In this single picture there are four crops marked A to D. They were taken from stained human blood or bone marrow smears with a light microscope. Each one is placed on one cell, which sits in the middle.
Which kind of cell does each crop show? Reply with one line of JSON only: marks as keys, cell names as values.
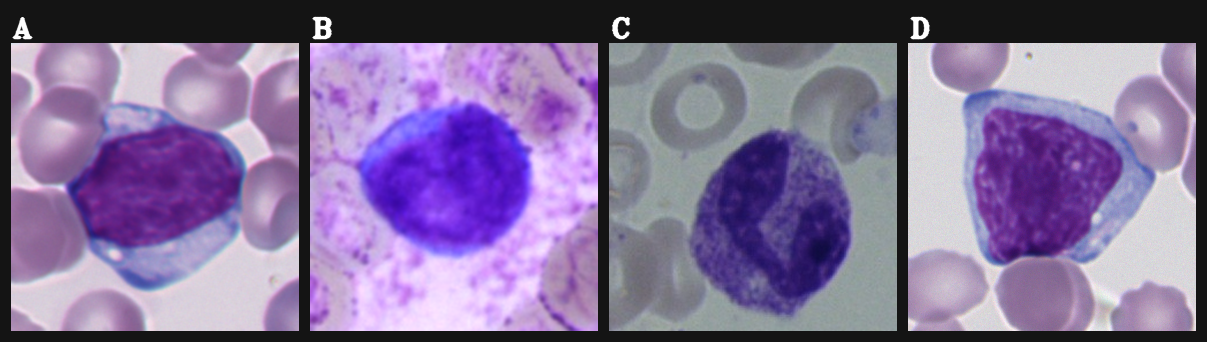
{"A": "blast", "B": "blast", "C": "segmented neutrophil", "D": "blast"}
